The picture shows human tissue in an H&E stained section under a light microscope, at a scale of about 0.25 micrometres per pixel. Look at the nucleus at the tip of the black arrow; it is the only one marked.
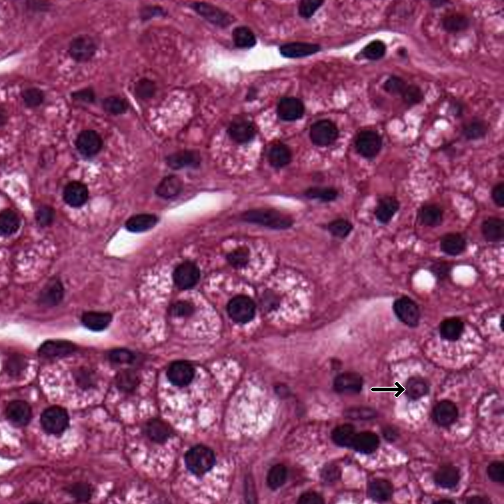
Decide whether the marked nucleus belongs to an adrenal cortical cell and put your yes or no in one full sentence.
Yes, the nucleus shown with the mark belongs to an adrenal cortical cell.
